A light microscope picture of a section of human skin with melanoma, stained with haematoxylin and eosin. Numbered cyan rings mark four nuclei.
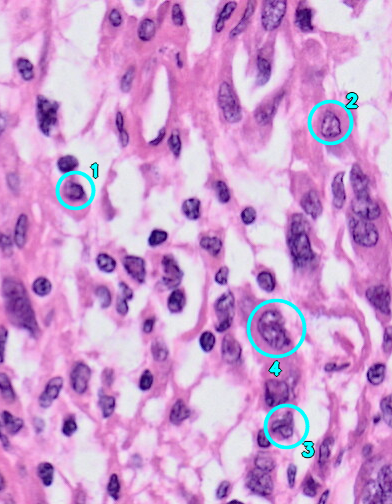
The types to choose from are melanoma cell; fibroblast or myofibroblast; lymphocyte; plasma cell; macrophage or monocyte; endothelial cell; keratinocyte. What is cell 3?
melanoma cell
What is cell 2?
melanoma cell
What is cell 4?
melanoma cell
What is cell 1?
macrophage or monocyte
